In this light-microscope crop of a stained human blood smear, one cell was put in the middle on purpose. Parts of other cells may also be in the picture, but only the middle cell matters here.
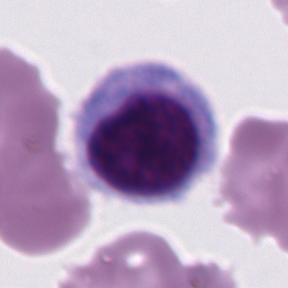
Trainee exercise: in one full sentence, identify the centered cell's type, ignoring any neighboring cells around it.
Answering briefly, the cell in the middle is a hairy cell.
